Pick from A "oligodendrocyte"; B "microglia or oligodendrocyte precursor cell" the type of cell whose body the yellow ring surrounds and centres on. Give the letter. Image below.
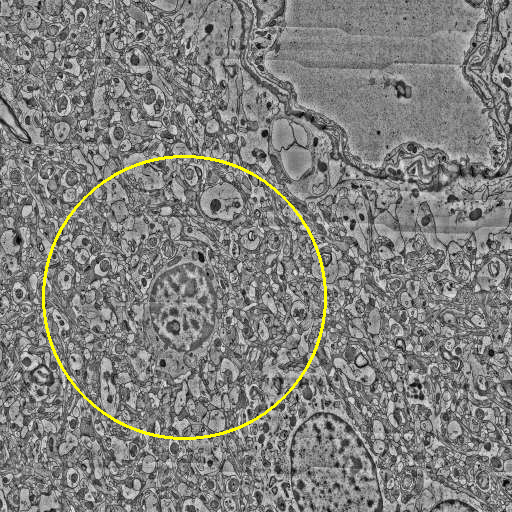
A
